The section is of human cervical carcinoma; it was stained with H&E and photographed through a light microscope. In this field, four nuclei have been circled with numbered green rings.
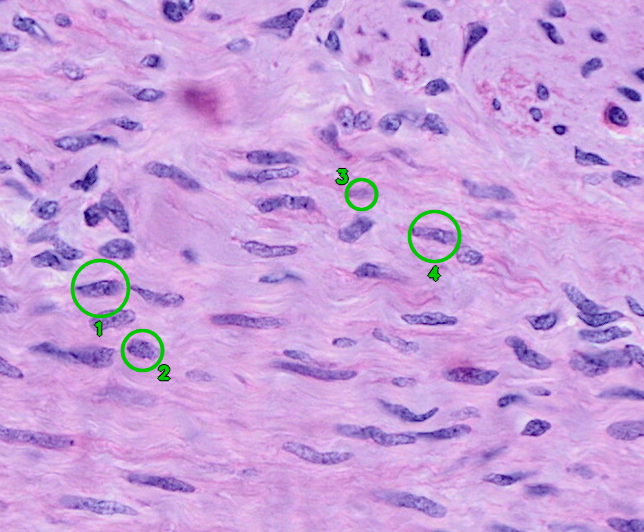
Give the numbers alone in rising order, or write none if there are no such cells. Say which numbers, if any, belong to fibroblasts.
1, 2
